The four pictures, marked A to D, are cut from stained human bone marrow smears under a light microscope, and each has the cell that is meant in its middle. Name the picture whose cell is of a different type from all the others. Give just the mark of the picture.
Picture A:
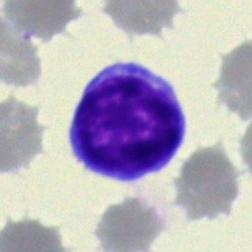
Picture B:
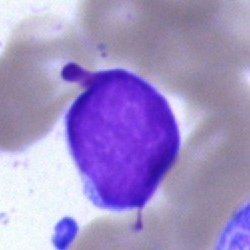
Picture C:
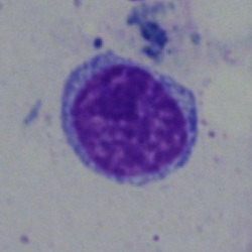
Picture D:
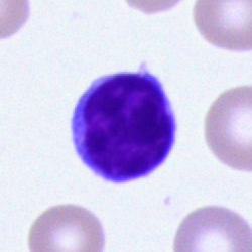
B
